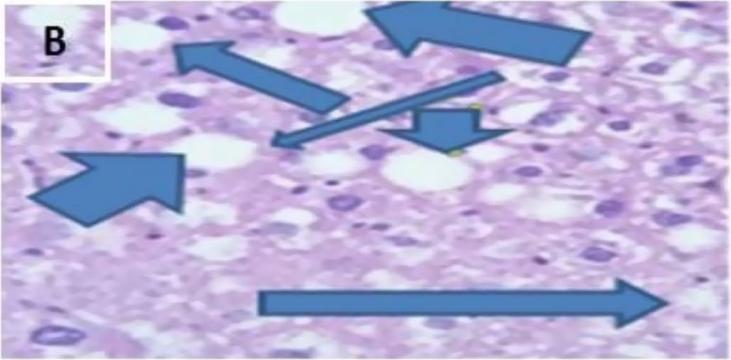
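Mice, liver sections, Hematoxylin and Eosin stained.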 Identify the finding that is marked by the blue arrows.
Fatty changes.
